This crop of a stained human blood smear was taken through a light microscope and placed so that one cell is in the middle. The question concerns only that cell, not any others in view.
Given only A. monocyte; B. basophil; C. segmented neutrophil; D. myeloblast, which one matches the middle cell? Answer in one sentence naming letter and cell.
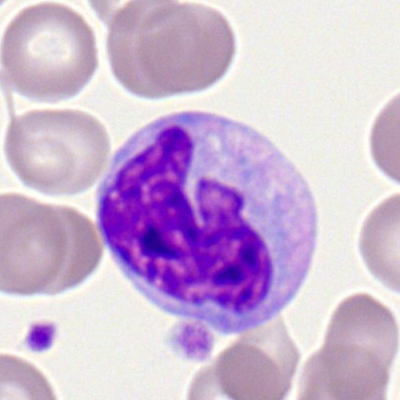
Occupying the middle of the crop is a monocyte, hence option A is correct.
